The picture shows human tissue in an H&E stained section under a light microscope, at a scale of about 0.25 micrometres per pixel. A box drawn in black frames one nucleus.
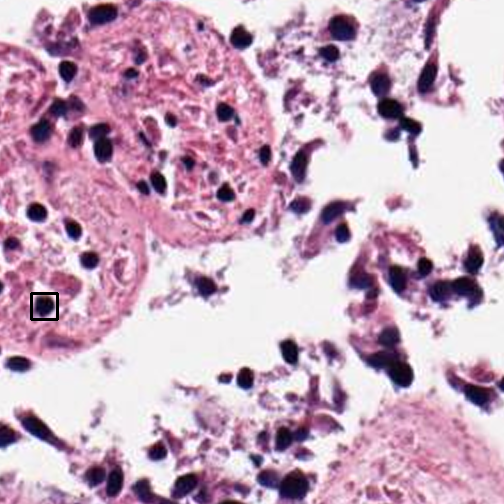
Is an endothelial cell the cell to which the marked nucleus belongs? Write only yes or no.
no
